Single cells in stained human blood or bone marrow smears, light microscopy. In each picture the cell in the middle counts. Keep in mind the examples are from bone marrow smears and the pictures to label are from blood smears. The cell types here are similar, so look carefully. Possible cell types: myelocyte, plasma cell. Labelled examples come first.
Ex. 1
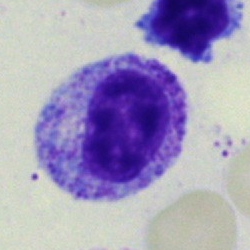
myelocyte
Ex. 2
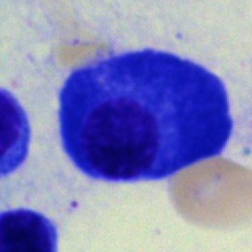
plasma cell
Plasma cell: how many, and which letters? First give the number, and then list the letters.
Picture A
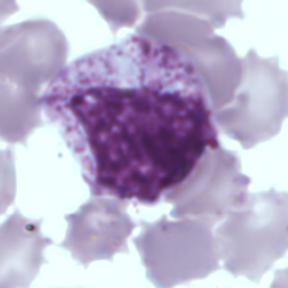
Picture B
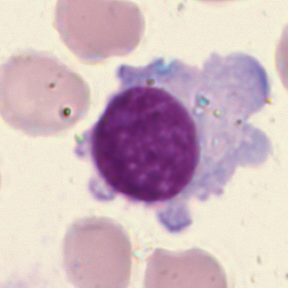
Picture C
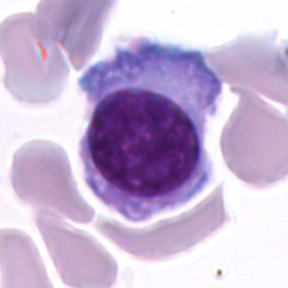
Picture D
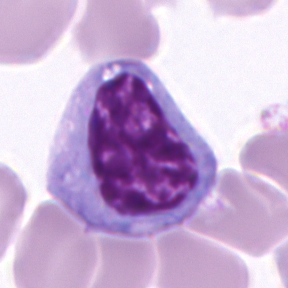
Count: 3 (B, C, D)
